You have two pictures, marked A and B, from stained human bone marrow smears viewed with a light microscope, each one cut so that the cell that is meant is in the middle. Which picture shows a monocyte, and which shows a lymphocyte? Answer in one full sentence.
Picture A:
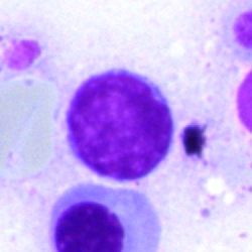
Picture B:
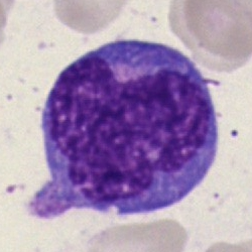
Picture A is of a lymphocyte, and picture B is of a monocyte.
